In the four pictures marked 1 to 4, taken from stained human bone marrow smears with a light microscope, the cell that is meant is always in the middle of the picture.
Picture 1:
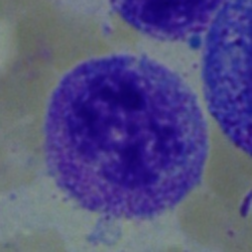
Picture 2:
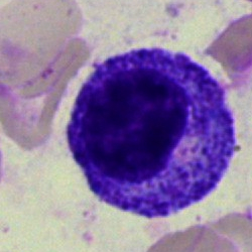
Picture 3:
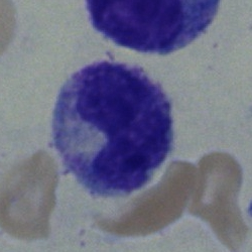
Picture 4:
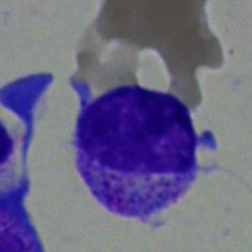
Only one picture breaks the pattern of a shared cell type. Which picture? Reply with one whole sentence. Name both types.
Picture 3 differs, because its cell is a metamyelocyte and the rest are myelocytes.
